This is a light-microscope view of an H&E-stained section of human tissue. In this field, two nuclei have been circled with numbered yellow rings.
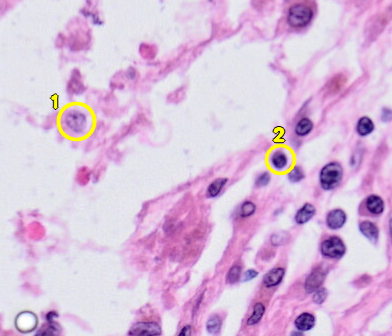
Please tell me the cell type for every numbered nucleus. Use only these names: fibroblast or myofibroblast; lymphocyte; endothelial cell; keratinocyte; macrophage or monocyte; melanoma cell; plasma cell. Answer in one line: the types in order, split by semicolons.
macrophage or monocyte; lymphocyte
